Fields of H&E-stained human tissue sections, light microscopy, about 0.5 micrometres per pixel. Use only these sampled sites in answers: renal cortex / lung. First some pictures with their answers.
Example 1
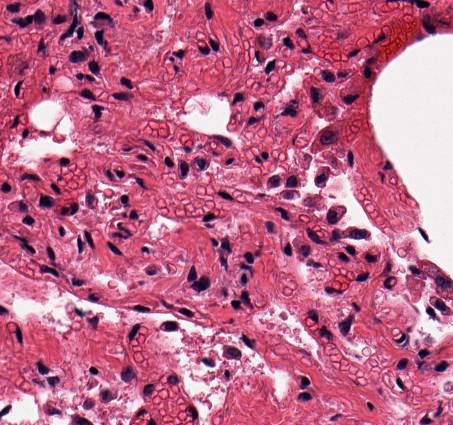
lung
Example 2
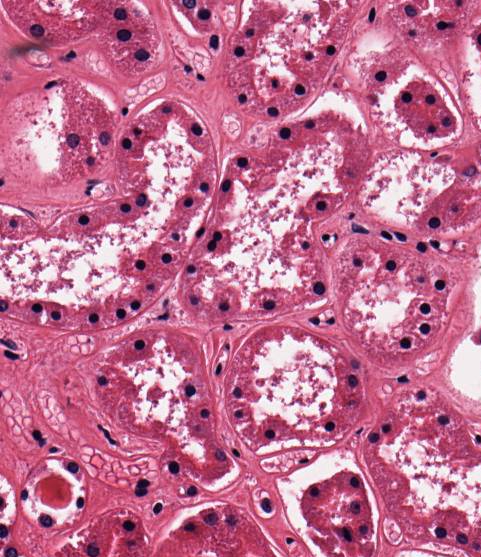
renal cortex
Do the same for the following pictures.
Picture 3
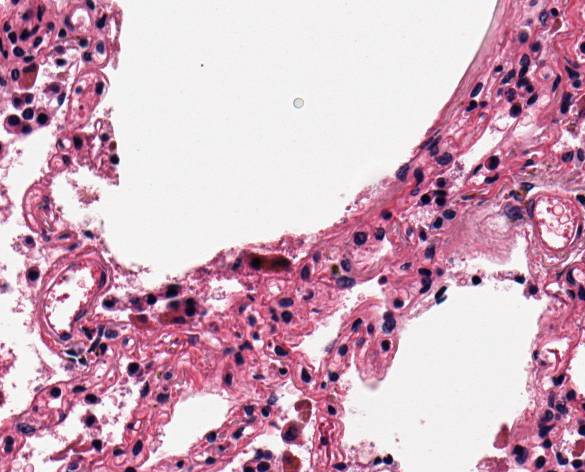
lung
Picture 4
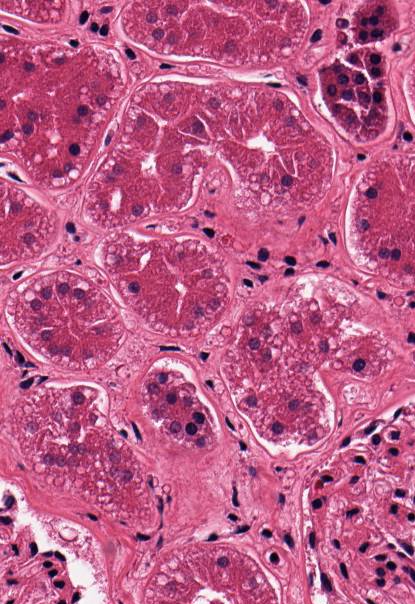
renal cortex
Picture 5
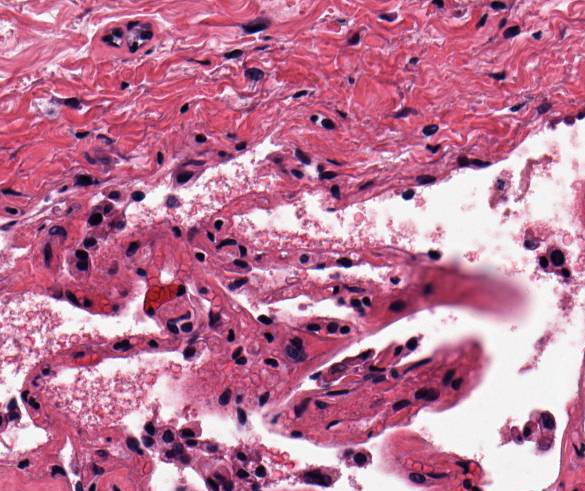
lung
